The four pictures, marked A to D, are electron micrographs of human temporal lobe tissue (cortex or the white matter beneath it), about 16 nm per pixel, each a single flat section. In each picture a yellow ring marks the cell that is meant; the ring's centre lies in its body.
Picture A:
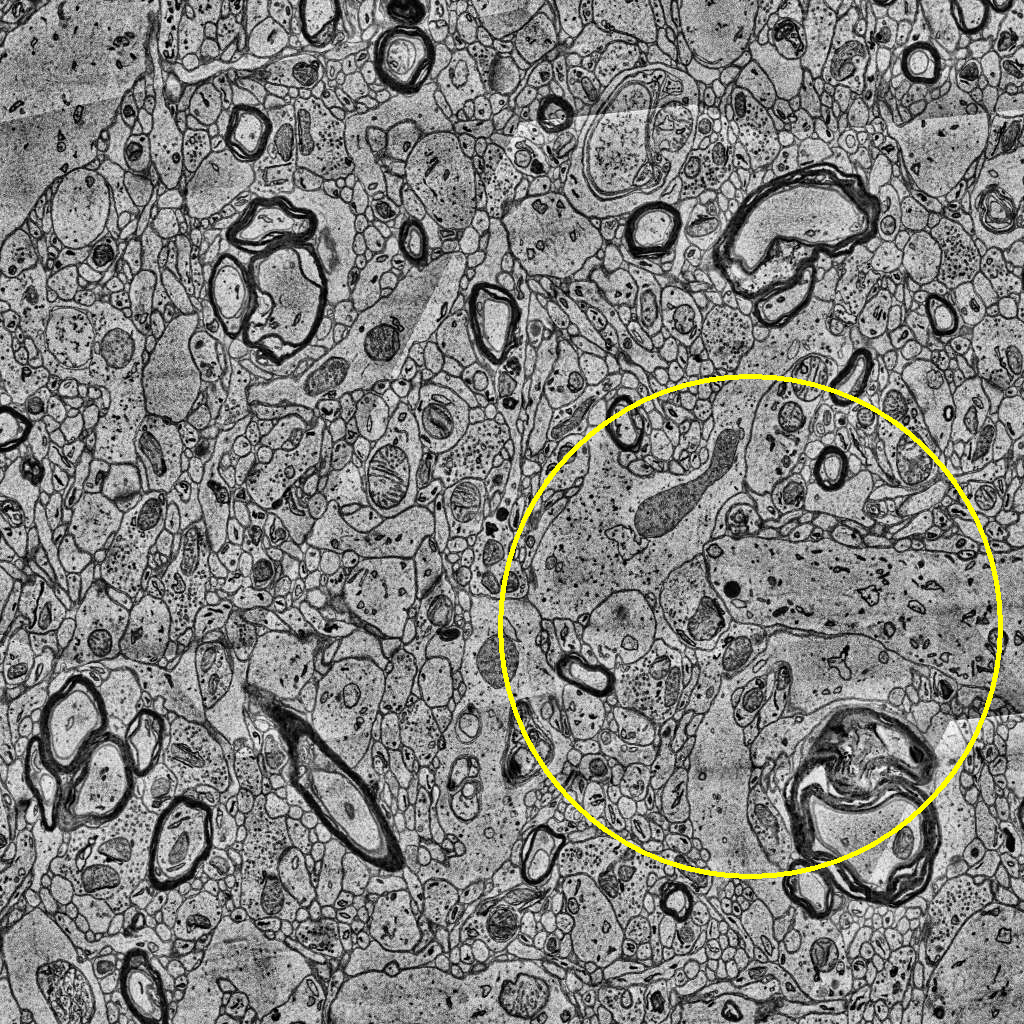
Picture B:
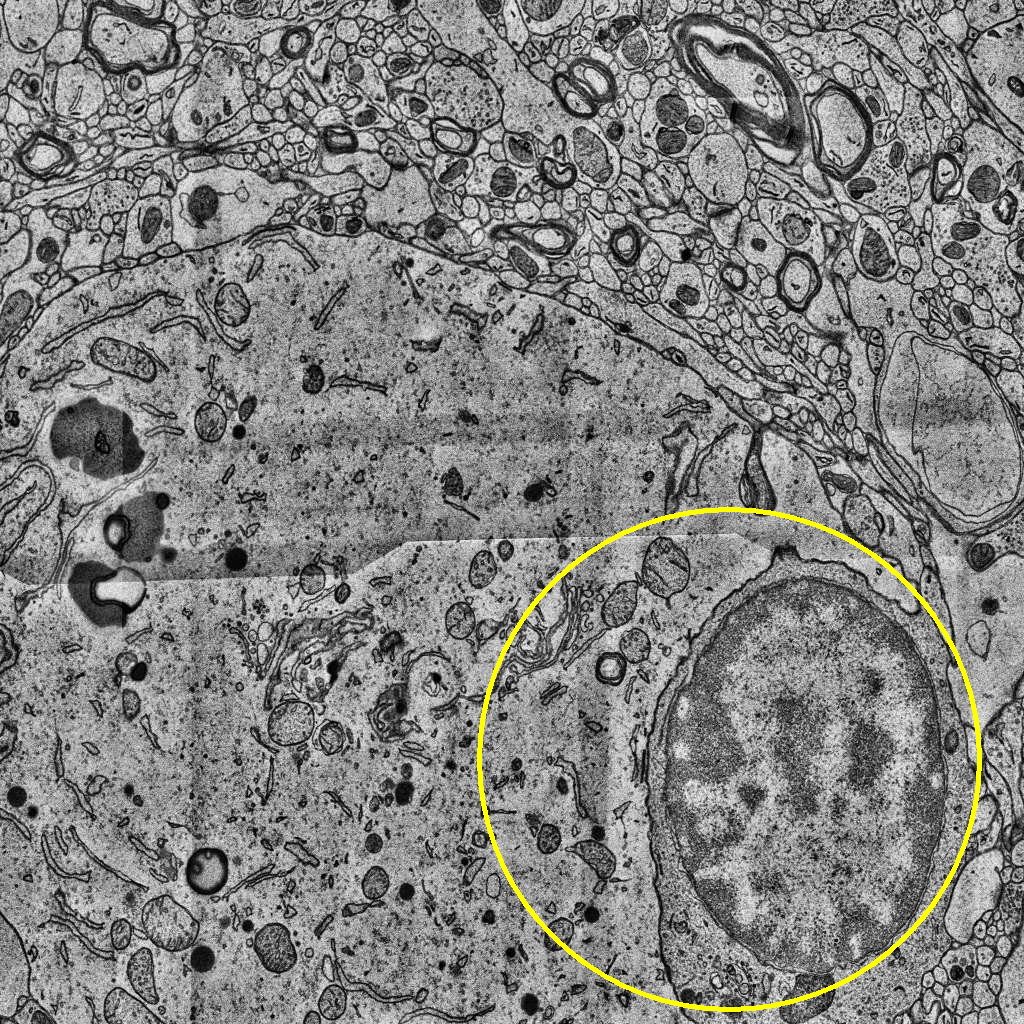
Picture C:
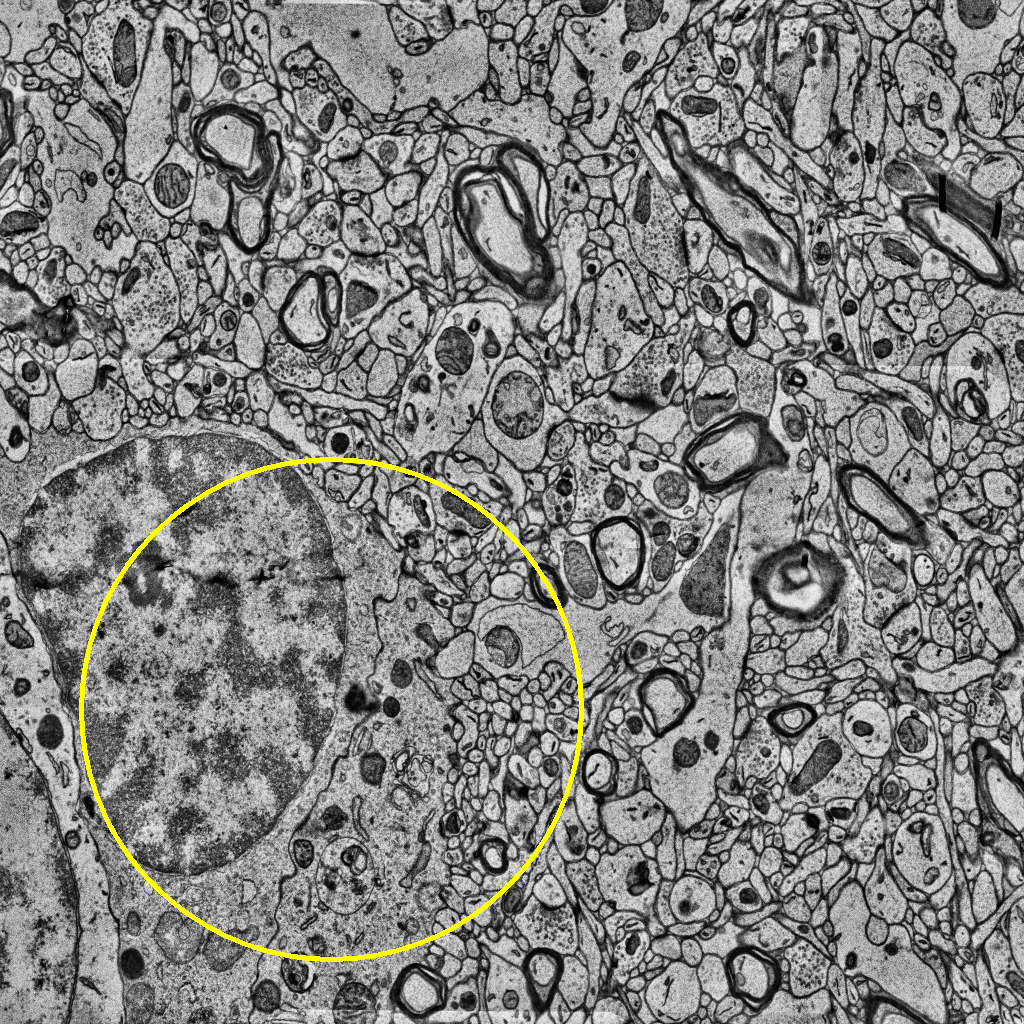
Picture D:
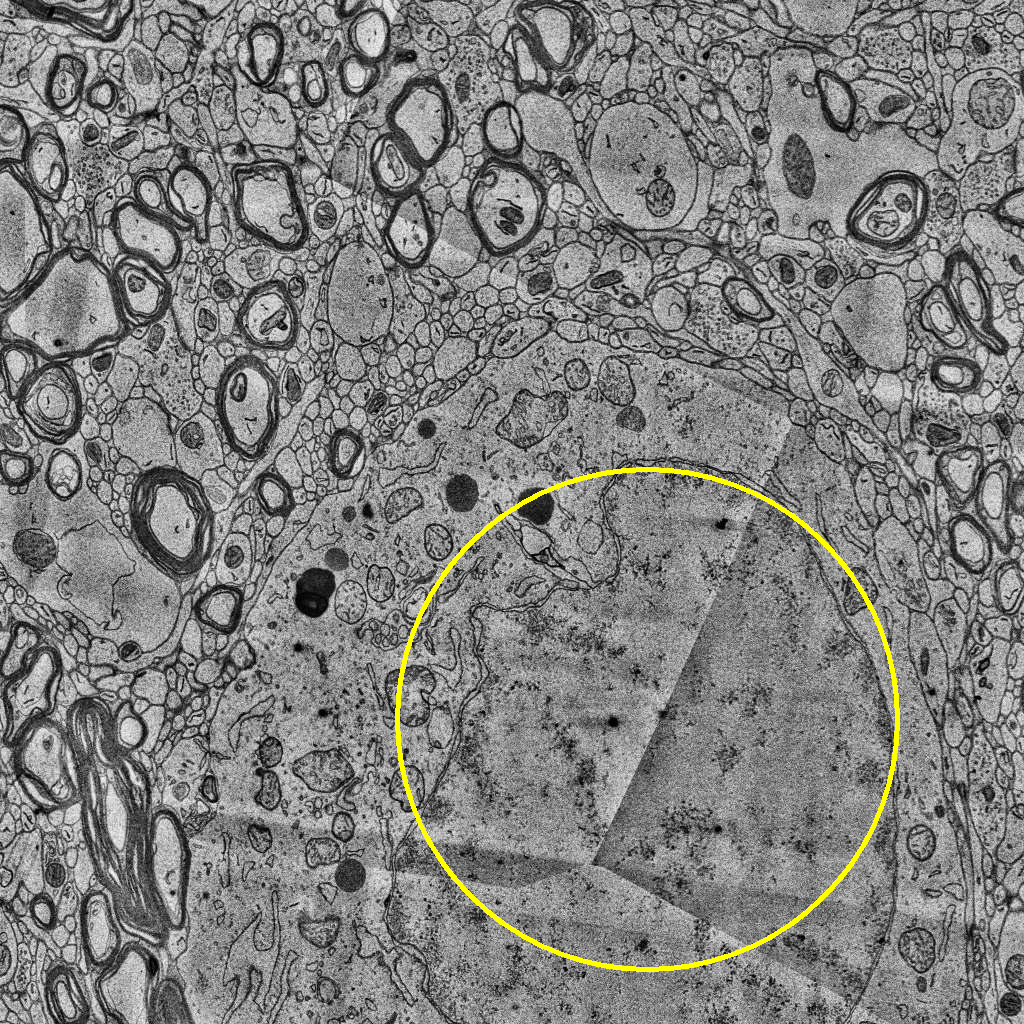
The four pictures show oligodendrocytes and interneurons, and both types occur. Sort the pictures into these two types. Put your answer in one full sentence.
Pictures A, B and C show oligodendrocytes; picture D shows an interneuron.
